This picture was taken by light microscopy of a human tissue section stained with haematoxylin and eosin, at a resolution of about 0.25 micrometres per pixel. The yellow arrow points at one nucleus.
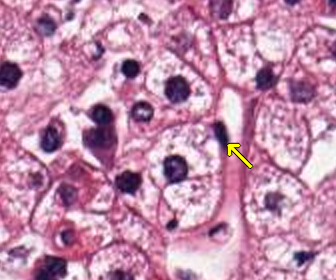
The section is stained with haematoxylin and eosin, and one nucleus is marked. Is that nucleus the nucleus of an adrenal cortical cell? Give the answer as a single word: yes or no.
no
